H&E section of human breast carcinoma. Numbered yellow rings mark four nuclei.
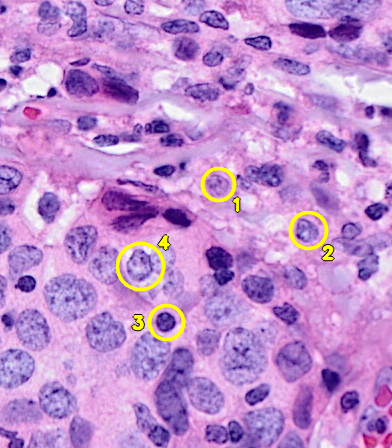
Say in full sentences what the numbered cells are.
Cell 1 is a macrophage, monocyte or dendritic cell, cell 2 is a macrophage, monocyte or dendritic cell, cell 3 is a lymphocyte and cell 4 is a carcinoma cell.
